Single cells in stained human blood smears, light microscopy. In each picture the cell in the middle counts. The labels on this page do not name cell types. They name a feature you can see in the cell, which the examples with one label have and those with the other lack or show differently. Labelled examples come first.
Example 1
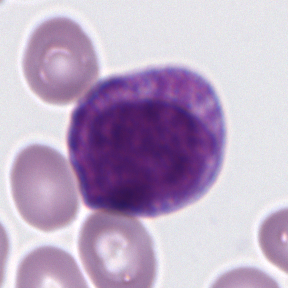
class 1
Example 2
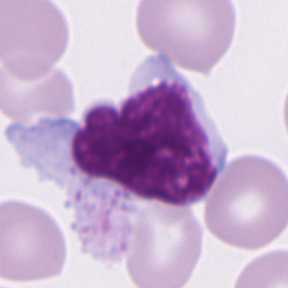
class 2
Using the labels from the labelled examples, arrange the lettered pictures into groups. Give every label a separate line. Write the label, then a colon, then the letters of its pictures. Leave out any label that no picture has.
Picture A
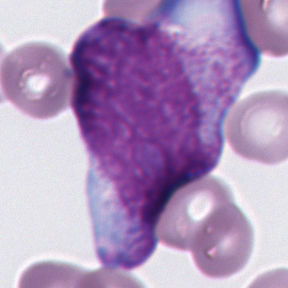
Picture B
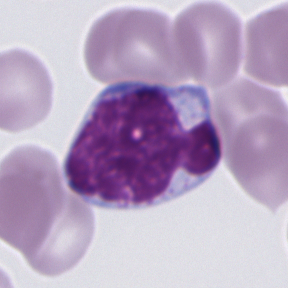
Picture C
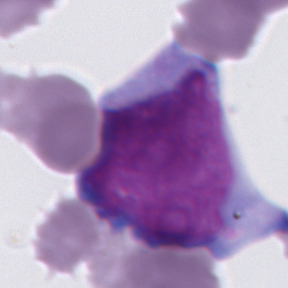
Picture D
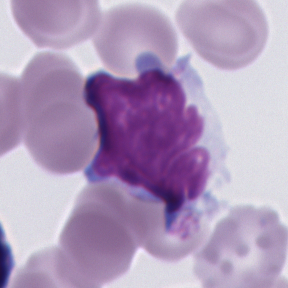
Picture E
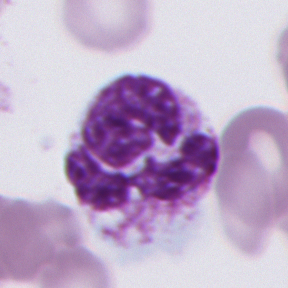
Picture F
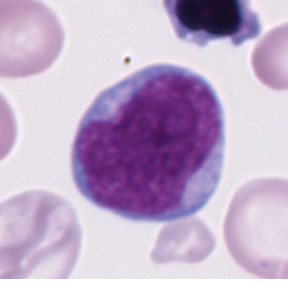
class 1: B, F
class 2: A, C, D, E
